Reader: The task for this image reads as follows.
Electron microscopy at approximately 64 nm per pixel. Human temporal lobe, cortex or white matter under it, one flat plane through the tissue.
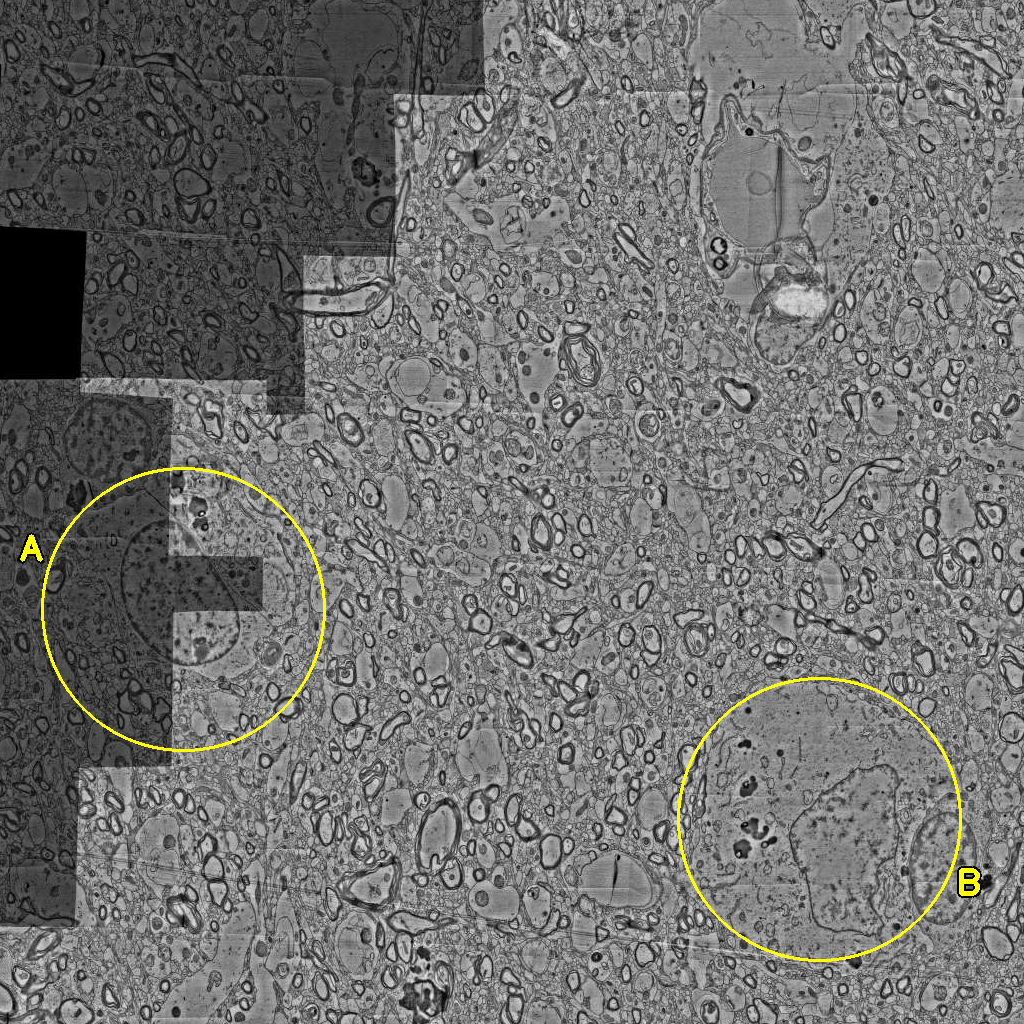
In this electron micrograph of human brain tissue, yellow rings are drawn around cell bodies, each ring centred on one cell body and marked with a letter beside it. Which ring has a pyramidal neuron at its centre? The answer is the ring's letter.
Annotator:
B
